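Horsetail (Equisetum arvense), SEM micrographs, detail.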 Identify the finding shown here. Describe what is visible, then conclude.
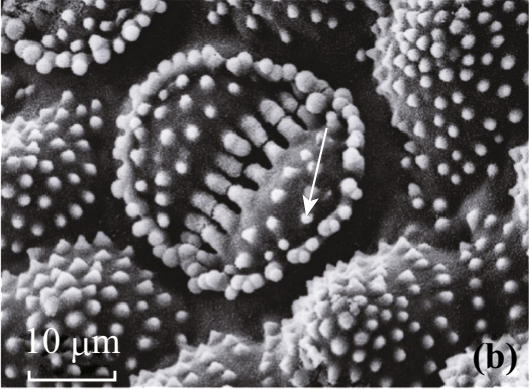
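The cell surfaces are covered with many small raised dots. So: micro-pattern of small enhanced spots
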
